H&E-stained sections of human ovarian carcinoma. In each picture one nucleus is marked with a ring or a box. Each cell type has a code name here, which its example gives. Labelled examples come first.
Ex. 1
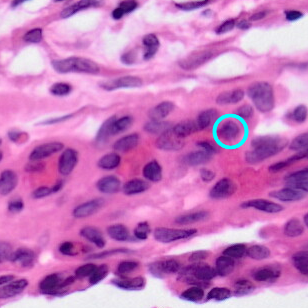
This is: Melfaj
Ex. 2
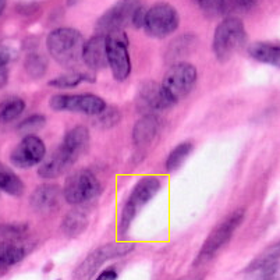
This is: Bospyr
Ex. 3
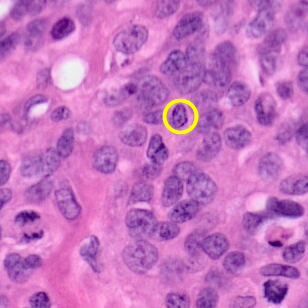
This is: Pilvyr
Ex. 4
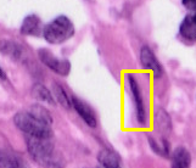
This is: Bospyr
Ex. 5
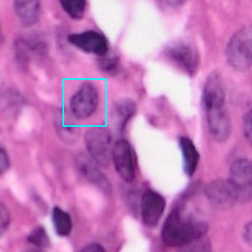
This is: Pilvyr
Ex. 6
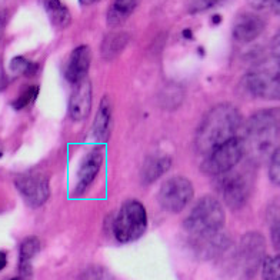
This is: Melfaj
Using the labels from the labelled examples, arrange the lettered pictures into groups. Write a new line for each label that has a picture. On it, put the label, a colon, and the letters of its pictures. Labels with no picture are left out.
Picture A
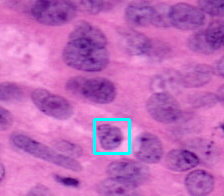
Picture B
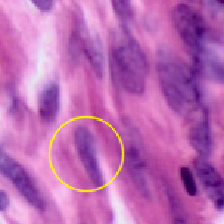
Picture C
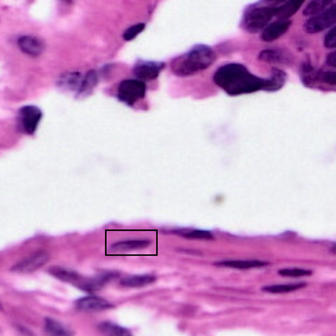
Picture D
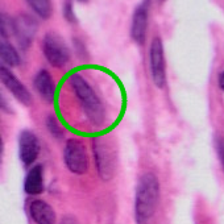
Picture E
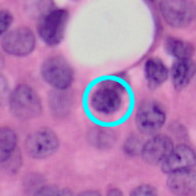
Melfaj: D
Bospyr: B, C
Pilvyr: A, E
